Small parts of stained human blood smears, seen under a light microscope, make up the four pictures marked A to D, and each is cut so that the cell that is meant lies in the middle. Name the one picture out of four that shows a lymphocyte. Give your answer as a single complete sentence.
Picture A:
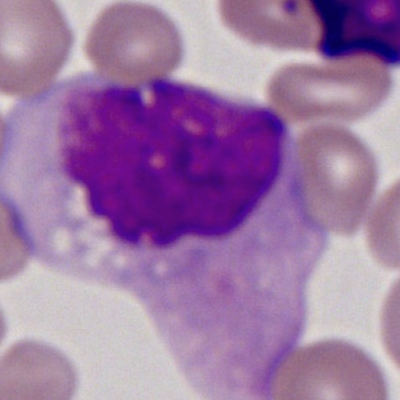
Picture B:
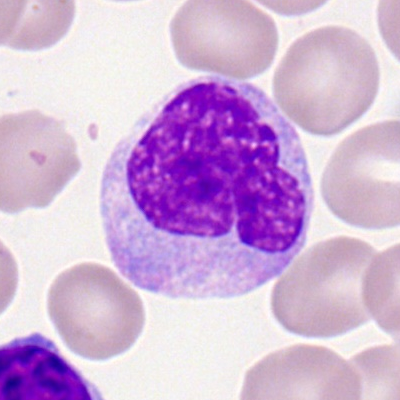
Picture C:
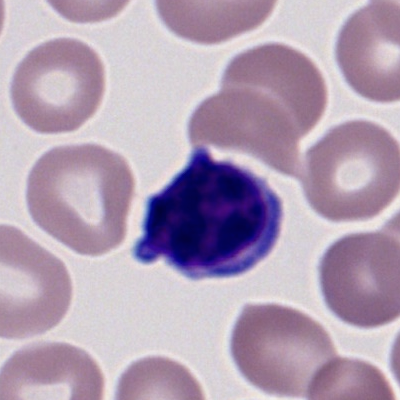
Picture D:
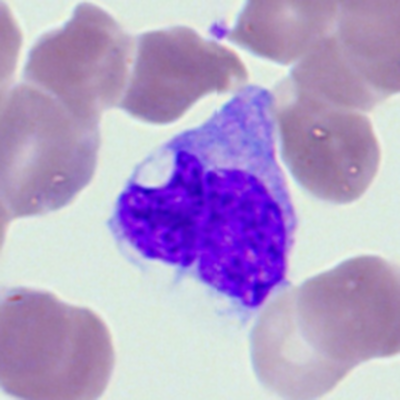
Picture C is the one that shows the lymphocyte.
